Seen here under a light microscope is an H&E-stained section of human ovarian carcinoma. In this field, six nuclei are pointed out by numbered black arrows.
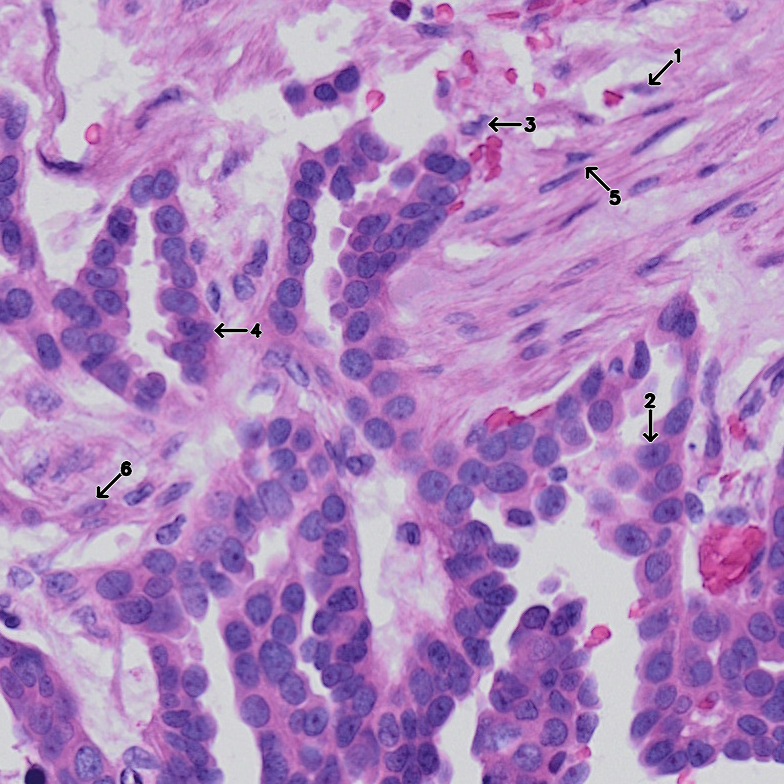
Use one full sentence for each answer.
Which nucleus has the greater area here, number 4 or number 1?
Nucleus 4 covers more area, about 1.5 times as much as nucleus 1.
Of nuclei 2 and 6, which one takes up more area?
The larger nucleus is 2, at roughly 2 times the area of 6.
